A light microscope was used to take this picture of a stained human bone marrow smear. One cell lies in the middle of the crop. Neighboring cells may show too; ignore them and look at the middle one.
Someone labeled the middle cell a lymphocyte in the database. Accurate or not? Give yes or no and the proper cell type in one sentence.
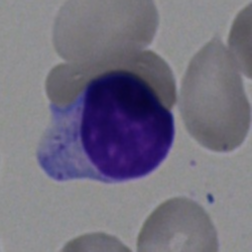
Yes, at the centre of the crop lies a lymphocyte.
